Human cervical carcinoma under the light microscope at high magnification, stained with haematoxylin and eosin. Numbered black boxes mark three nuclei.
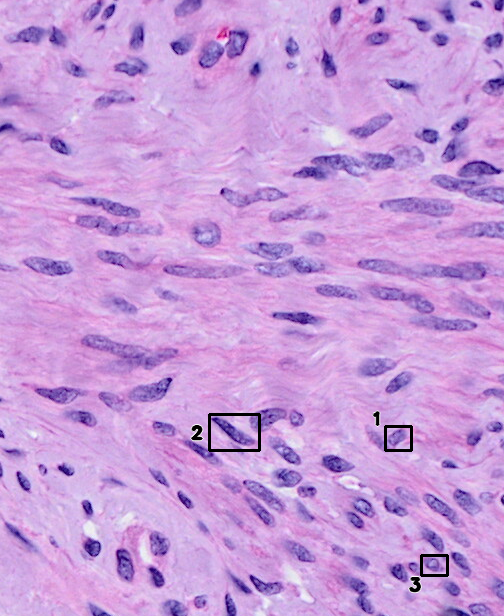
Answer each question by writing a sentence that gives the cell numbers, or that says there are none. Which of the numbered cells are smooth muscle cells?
The cells that have been numbered 1 and 3 are smooth muscle cells.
